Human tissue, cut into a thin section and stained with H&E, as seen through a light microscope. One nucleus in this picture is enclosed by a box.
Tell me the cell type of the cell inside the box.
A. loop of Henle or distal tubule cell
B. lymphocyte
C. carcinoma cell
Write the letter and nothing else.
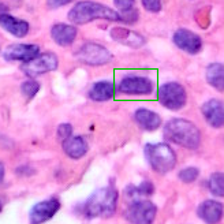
B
